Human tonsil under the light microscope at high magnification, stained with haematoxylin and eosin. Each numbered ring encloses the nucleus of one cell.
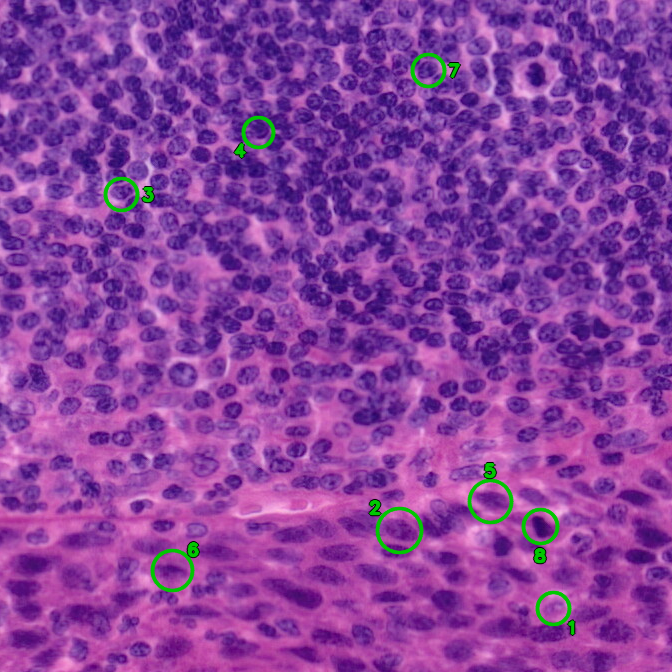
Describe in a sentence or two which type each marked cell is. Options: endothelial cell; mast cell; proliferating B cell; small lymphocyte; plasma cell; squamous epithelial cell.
Cell 1 is a squamous epithelial cell, cell 2 is a squamous epithelial cell, cell 3 is a small lymphocyte, cell 4 is a small lymphocyte, cell 5 is a squamous epithelial cell, cell 6 is a squamous epithelial cell, cell 7 is a small lymphocyte and cell 8 is a squamous epithelial cell.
